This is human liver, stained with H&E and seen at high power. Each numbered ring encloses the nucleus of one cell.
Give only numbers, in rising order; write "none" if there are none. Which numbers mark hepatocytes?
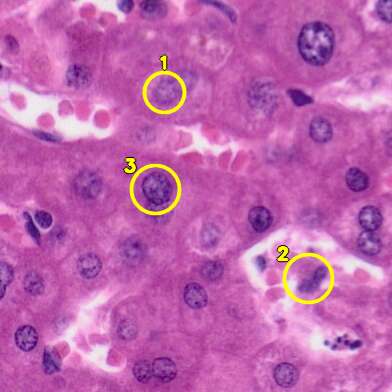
1, 3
